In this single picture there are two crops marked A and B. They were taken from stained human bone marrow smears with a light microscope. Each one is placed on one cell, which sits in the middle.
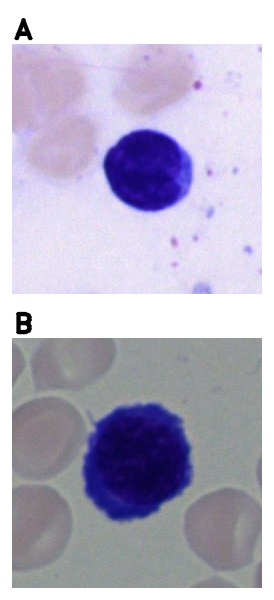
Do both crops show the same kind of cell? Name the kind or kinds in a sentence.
No, crop A is where a lymphocyte is, and crop B is where a normoblast is.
